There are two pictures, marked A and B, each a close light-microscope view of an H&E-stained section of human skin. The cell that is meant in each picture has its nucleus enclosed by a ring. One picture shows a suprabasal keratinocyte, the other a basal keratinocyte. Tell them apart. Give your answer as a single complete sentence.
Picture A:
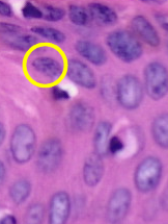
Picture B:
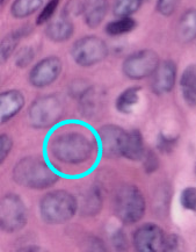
Picture A shows a basal keratinocyte and picture B shows a suprabasal keratinocyte.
